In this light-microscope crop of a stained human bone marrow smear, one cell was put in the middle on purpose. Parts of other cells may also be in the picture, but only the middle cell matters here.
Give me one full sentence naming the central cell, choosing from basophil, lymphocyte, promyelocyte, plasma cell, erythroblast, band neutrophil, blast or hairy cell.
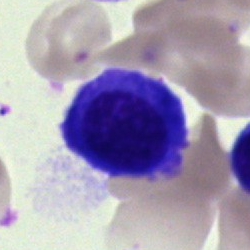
Whatever else lies nearby, the middle cell is a plasma cell.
